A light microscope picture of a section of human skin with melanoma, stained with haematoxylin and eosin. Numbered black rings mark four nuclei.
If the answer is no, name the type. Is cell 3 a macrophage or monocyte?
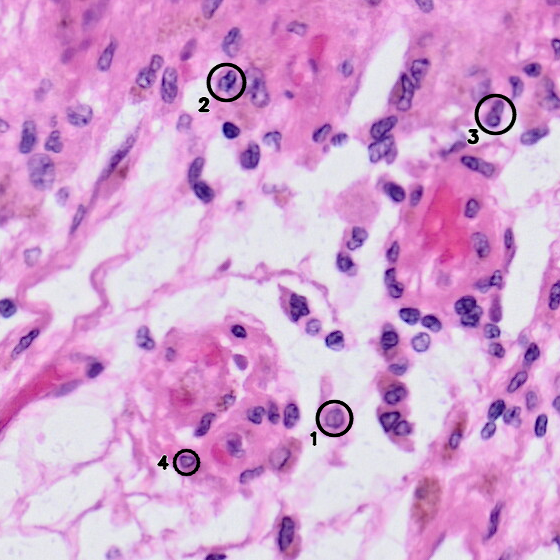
Yes.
